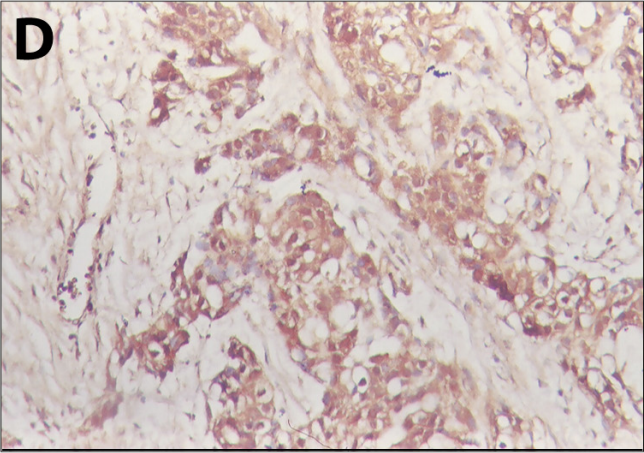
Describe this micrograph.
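The nests lie in a loose, pale stroma, and gland formation is poor and irregular. The tumour cells have enlarged nuclei and abundant cytoplasm, many containing clear vacuoles. Brown staining lies in the cytoplasm of the tumour cells, being strongest in some clusters, while the surrounding stroma stays pale.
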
